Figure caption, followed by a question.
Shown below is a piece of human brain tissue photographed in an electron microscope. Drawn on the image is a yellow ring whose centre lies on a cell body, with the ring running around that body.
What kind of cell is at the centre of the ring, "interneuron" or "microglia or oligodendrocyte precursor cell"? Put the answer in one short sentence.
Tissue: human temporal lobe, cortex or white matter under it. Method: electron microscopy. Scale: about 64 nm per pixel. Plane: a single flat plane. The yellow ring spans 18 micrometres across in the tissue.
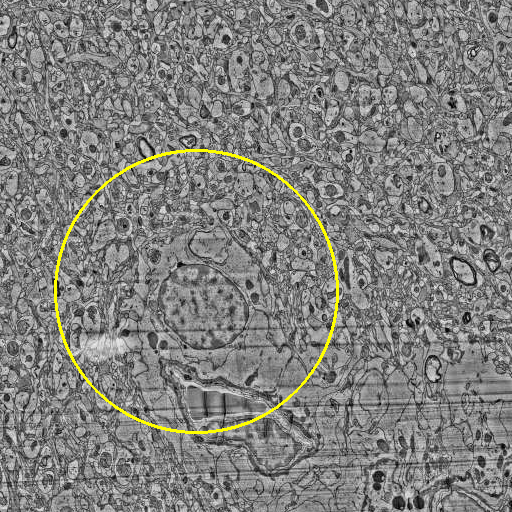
The ring marks the cell body of a microglial cell or oligodendrocyte precursor cell.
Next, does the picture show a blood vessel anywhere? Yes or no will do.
Yes.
